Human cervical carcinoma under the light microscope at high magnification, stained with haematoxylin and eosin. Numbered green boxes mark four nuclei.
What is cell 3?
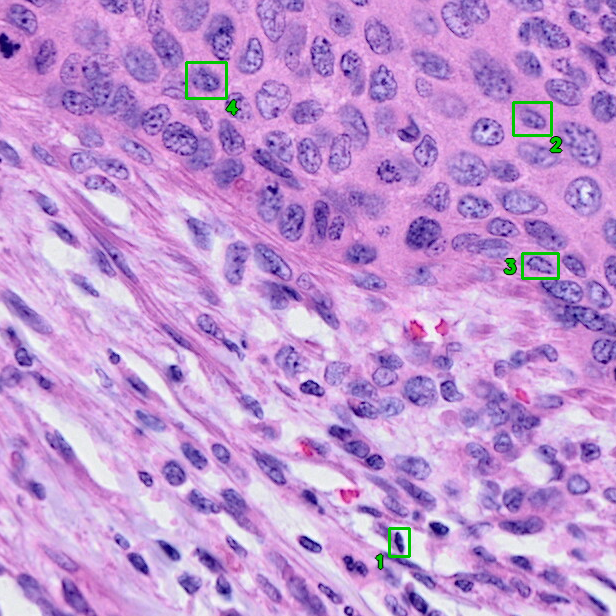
squamous carcinoma cell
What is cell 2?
squamous carcinoma cell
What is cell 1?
lymphocyte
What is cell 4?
squamous carcinoma cell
